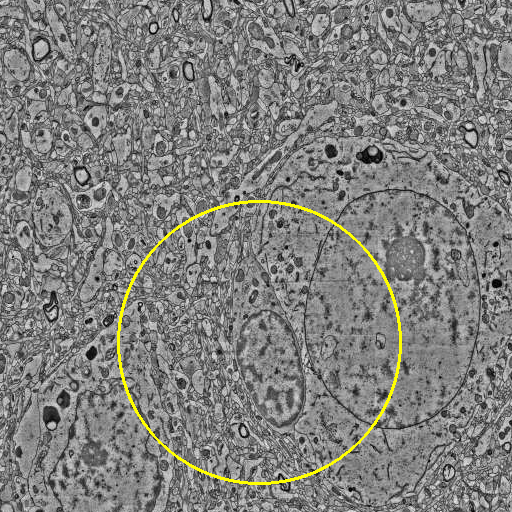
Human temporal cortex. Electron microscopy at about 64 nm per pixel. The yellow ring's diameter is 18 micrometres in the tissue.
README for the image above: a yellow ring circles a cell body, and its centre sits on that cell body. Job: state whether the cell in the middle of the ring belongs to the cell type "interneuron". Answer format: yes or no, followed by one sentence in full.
No, in the image, the ring's central cell belongs to another type.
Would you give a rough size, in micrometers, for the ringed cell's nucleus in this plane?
Approximately 7 x 4 micrometres in this plane.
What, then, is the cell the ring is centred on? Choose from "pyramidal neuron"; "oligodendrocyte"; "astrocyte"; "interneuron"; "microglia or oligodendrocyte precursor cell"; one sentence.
The cell at the middle of the ring is an oligodendrocyte.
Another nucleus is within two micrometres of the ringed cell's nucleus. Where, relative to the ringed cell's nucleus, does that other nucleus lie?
The other nucleus is found to the upper right of it.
